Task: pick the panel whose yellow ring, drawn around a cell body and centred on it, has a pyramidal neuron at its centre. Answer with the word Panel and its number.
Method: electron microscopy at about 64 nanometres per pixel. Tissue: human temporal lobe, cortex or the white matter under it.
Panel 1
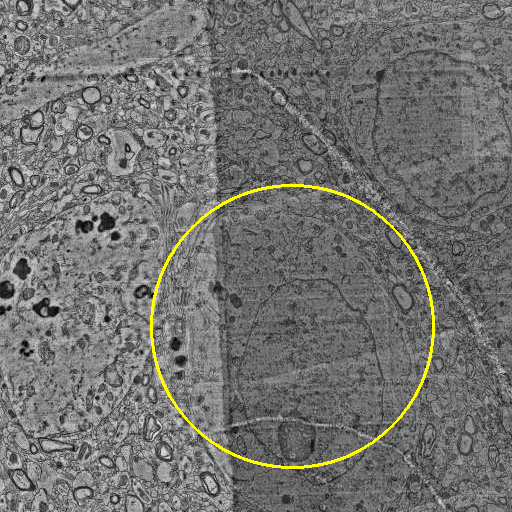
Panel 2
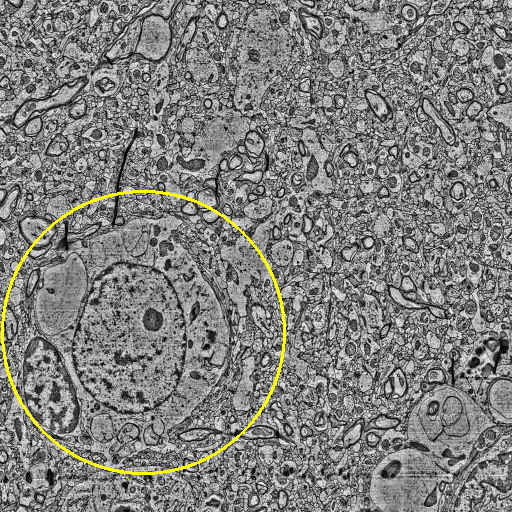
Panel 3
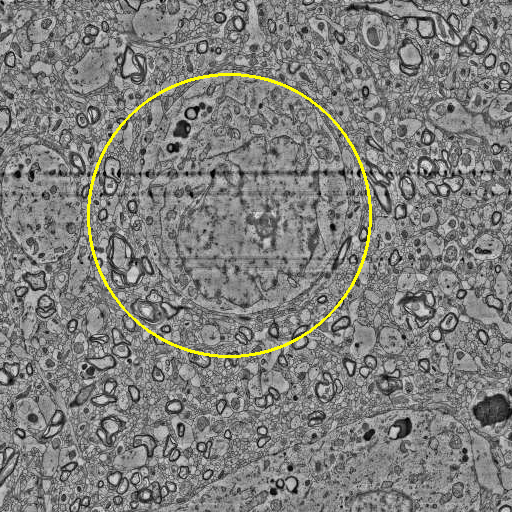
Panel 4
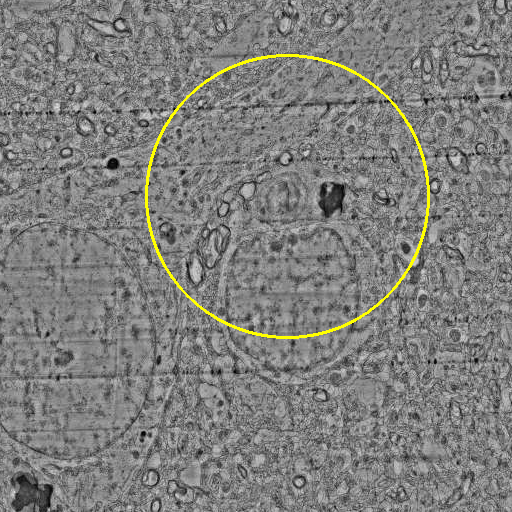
Panel 1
